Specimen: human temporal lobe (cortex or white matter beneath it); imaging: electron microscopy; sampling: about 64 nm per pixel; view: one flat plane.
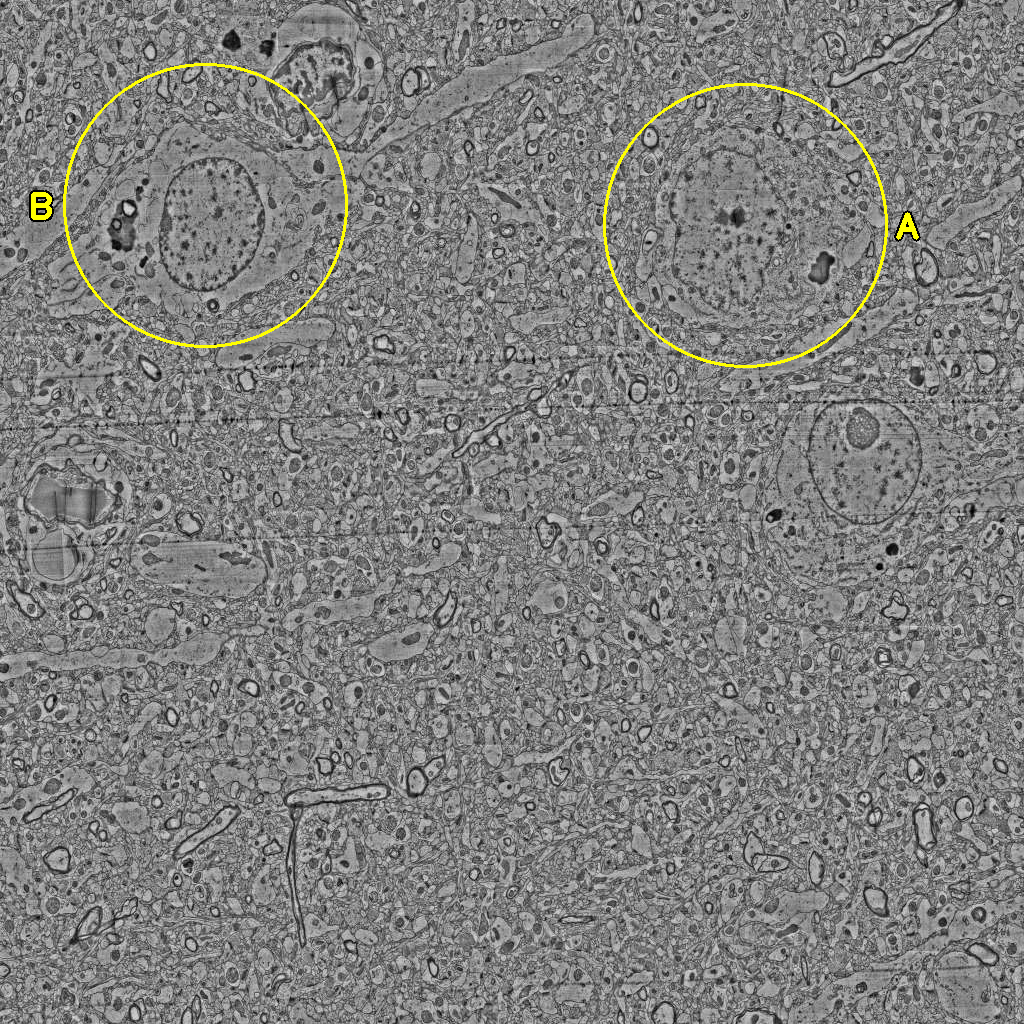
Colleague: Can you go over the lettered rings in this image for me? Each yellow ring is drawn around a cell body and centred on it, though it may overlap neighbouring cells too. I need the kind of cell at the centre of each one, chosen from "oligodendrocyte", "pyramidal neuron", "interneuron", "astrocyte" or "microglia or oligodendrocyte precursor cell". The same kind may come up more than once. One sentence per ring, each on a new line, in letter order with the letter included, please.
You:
Ring A marks the cell body of an interneuron.
Ring B marks the cell body of an astrocyte.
